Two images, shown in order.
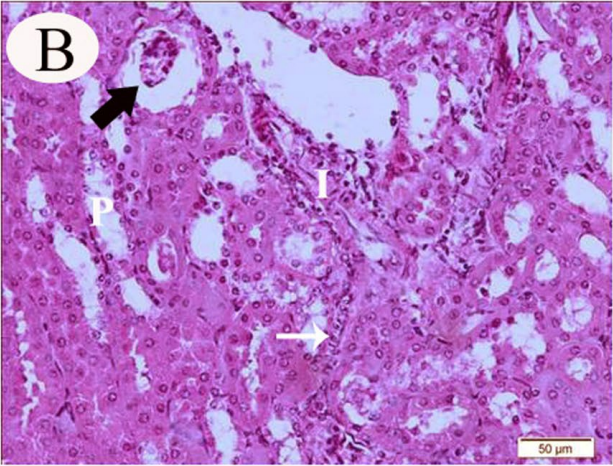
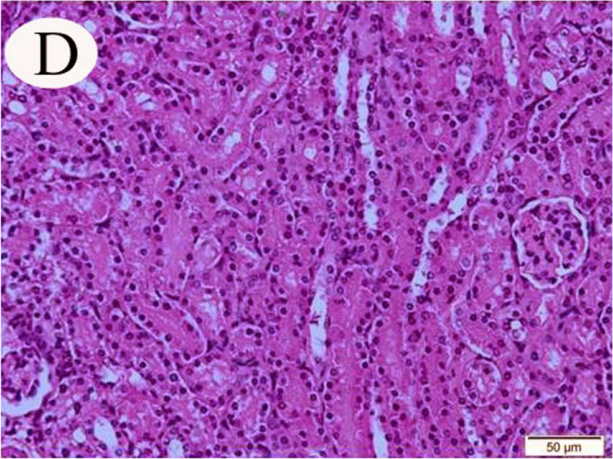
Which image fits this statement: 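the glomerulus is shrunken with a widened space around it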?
the first image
